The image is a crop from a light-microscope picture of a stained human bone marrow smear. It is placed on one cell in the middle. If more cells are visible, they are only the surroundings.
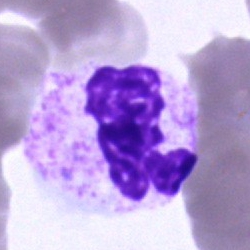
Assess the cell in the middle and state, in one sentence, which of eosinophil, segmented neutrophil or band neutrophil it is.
The middle cell in this particular crop is a segmented neutrophil.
